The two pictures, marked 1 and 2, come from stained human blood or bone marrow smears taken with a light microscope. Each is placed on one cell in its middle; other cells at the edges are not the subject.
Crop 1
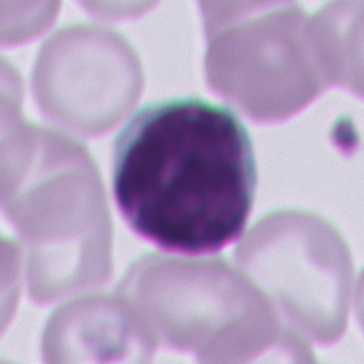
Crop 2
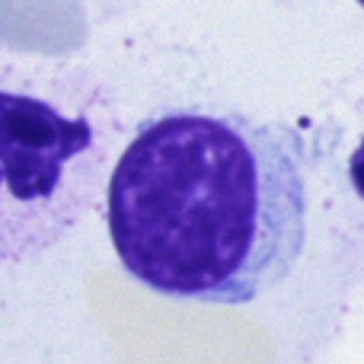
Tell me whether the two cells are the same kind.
yes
